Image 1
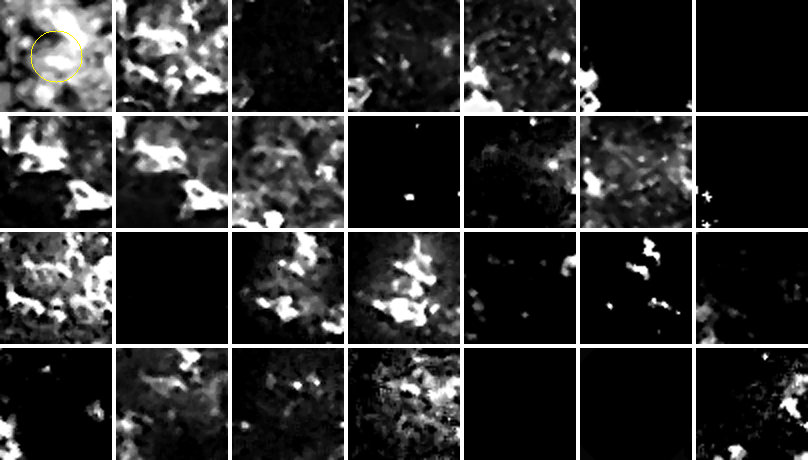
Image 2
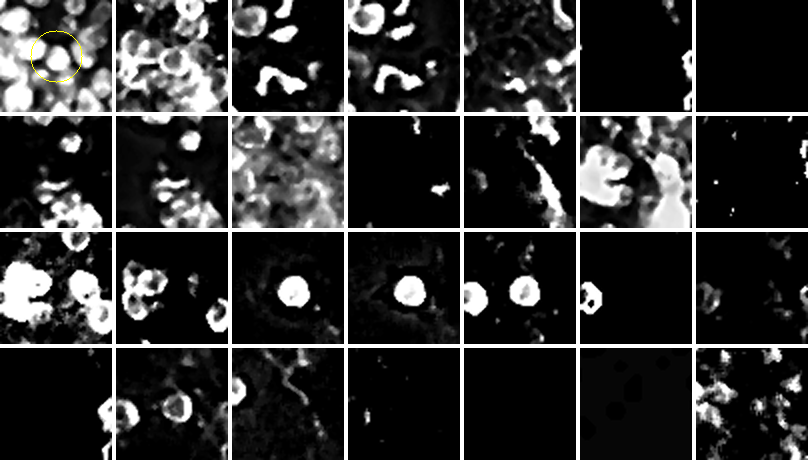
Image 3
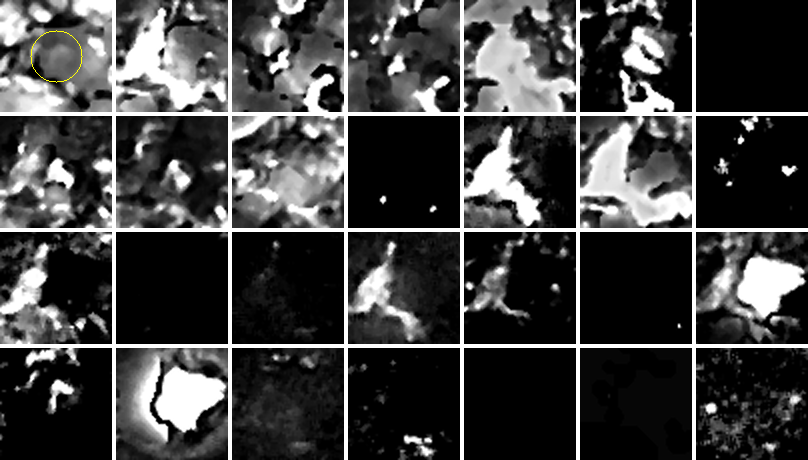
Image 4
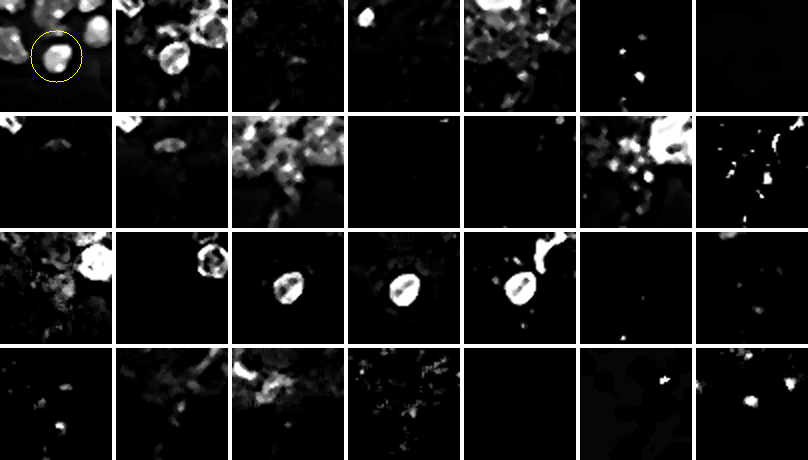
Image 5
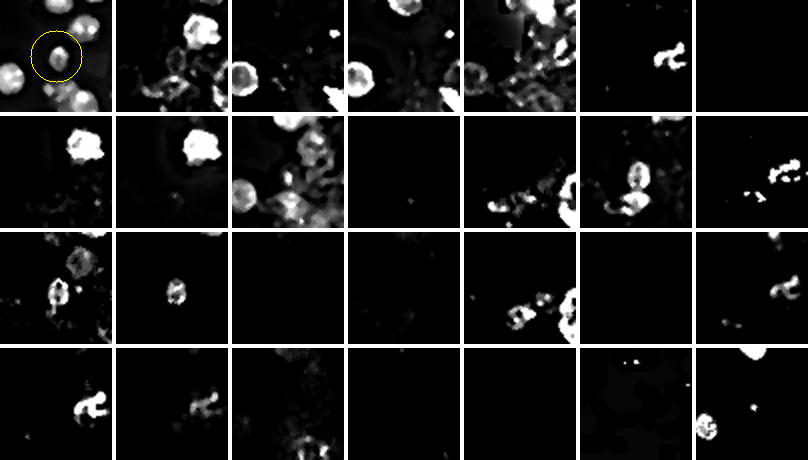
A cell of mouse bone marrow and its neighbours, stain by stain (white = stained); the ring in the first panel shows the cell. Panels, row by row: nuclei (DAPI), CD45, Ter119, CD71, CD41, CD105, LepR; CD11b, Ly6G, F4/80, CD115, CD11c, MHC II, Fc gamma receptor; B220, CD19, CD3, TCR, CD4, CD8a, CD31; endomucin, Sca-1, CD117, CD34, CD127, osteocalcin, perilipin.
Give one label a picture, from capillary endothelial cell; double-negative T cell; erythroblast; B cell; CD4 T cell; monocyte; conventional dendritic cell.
Picture 1: double-negative T cell
Picture 2: CD4 T cell
Picture 3: conventional dendritic cell
Picture 4: CD4 T cell
Picture 5: B cell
